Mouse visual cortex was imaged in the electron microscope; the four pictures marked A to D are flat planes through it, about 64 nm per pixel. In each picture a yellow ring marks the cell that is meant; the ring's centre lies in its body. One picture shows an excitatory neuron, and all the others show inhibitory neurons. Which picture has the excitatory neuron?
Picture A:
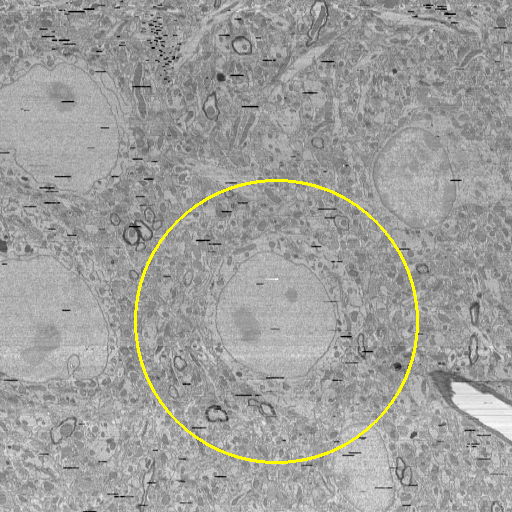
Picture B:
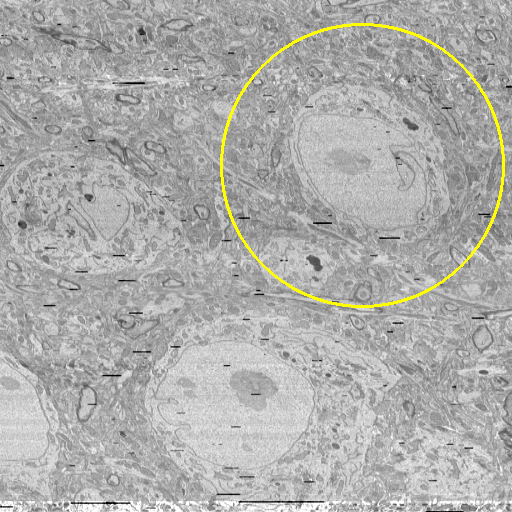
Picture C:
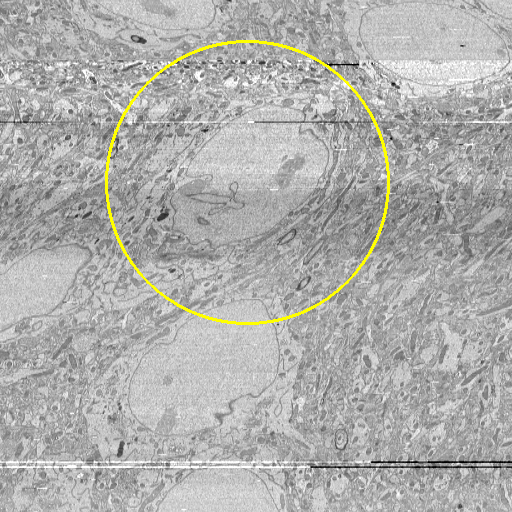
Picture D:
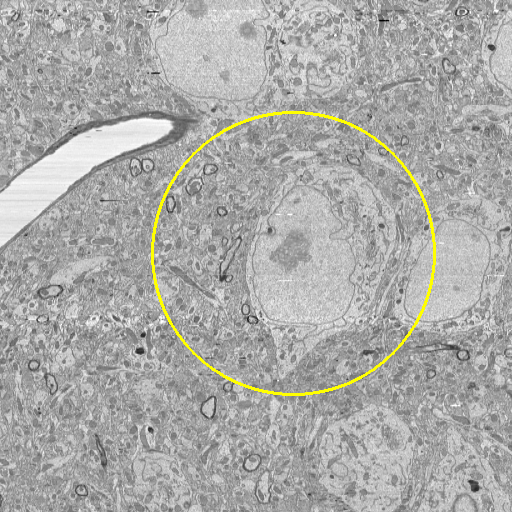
It is picture A that shows the excitatory neuron.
